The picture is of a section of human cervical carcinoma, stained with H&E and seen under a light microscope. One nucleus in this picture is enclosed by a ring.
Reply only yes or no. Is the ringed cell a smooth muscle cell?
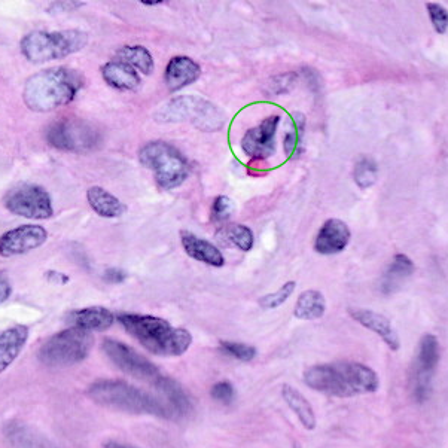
no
